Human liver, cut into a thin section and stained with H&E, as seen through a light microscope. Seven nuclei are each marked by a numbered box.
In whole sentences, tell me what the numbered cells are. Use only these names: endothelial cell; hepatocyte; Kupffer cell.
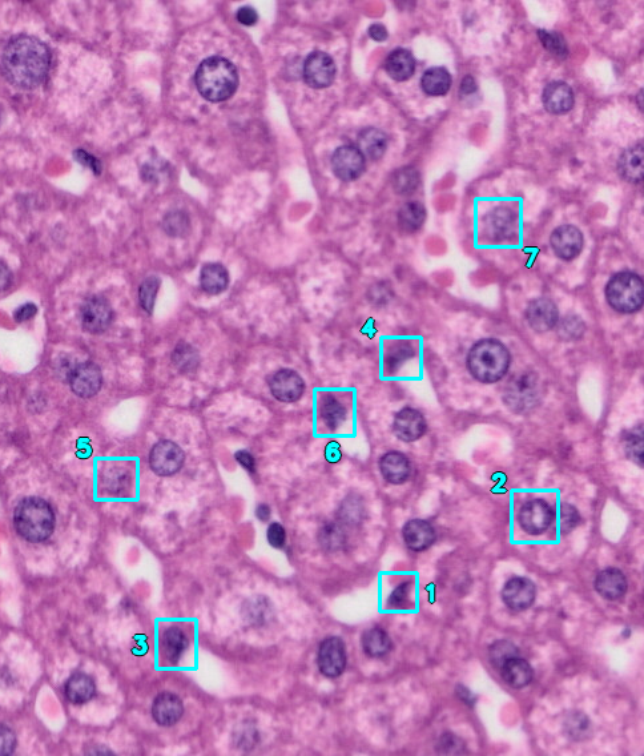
Cells 1, 3, 4 and 6 are endothelial cells. Cells 2, 5 and 7 are hepatocytes.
